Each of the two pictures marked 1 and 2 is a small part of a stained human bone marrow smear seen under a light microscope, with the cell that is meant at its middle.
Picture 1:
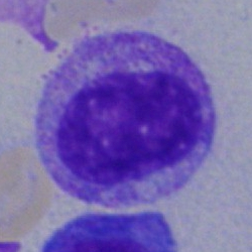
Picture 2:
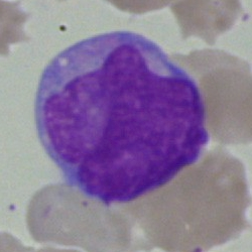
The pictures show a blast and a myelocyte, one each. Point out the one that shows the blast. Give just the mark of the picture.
2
